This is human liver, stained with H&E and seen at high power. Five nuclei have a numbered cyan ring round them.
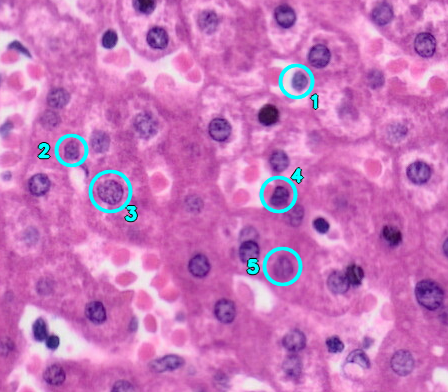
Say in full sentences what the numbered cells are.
Cell 1 is a lymphocyte, cell 2 is a fibroblast or stellate cell, cell 3 is a hepatocyte, cell 4 is a fibroblast or stellate cell and cell 5 is a hepatocyte.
